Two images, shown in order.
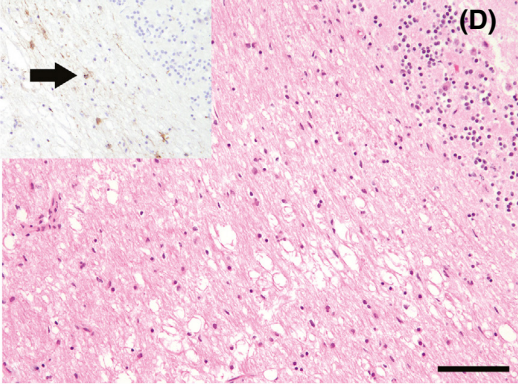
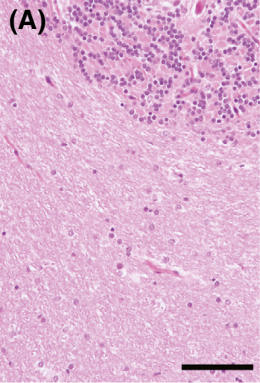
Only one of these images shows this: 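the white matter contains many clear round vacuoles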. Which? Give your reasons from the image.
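First image: numerous round clear spaces are scattered through the pink fibrous tissue. Second image: the pink fibrous tissue is compact with no clear spaces. The answer: the first image.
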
